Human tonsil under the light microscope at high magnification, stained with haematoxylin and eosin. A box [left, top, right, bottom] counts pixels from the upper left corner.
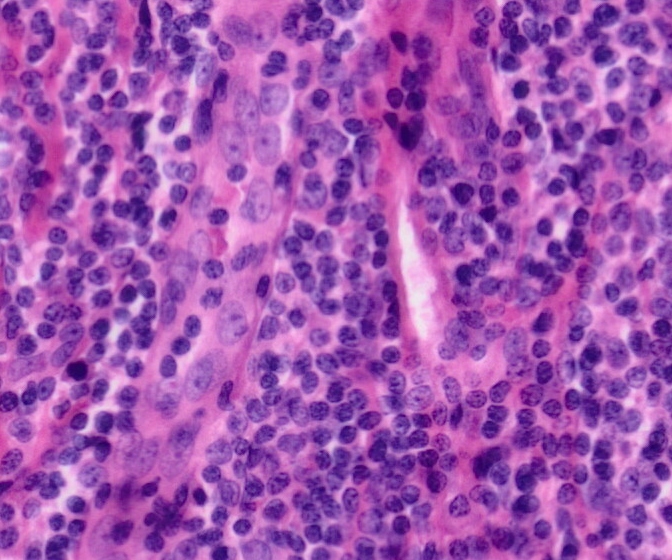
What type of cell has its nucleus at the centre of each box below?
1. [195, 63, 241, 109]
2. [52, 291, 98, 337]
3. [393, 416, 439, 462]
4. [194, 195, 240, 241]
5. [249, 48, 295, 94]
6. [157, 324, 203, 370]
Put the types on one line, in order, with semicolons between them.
endothelial cell; plasma cell; small lymphocyte; endothelial cell; endothelial cell; endothelial cell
